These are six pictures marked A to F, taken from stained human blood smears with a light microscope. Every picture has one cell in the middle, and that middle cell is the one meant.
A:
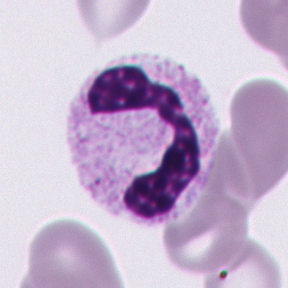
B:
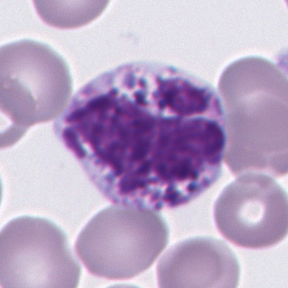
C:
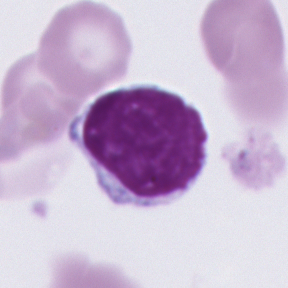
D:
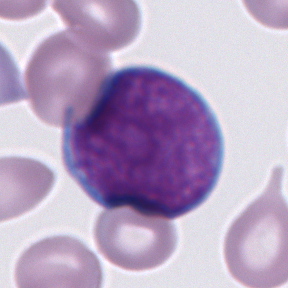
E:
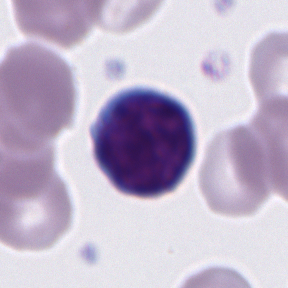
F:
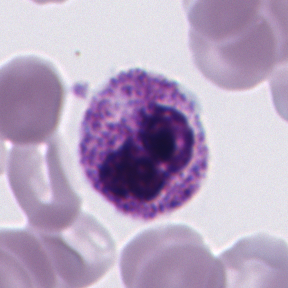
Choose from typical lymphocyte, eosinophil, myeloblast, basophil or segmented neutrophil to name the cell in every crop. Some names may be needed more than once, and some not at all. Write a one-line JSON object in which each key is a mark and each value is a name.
{"A": "segmented neutrophil", "B": "basophil", "C": "typical lymphocyte", "D": "myeloblast", "E": "typical lymphocyte", "F": "segmented neutrophil"}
